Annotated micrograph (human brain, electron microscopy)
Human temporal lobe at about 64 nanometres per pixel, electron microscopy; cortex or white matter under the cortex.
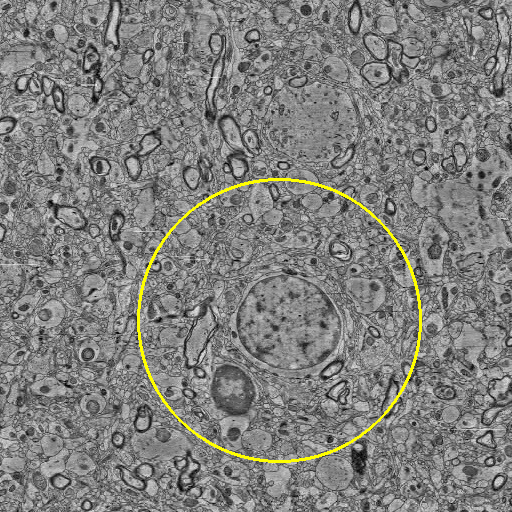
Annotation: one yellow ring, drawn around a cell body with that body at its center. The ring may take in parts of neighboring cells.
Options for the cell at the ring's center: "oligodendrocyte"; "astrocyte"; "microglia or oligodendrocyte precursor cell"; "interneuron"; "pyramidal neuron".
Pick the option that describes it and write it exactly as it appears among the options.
microglia or oligodendrocyte precursor cell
